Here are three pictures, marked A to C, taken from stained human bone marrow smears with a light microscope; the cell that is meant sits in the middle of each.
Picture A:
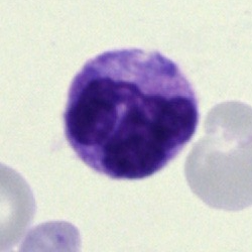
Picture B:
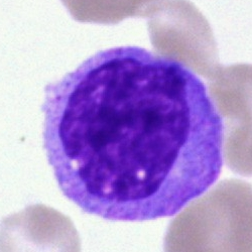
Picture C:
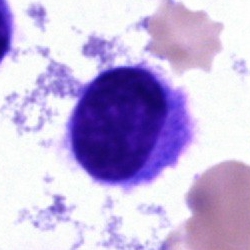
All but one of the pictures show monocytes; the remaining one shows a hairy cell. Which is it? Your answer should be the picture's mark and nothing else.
C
